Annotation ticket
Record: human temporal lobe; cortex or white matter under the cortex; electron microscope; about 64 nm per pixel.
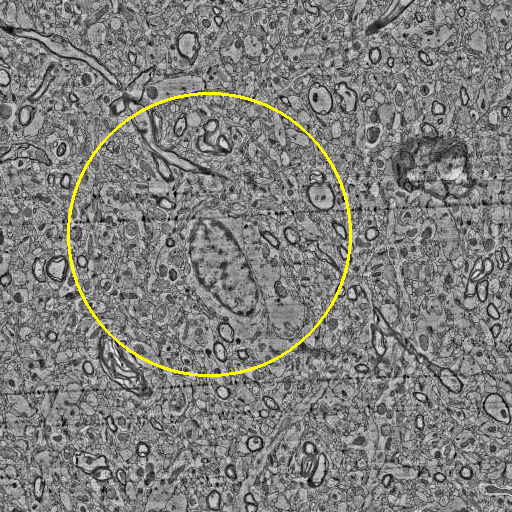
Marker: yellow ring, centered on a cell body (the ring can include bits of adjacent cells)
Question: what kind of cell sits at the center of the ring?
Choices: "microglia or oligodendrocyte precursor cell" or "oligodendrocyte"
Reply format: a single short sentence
The ring is centered on a microglial cell or oligodendrocyte precursor cell.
